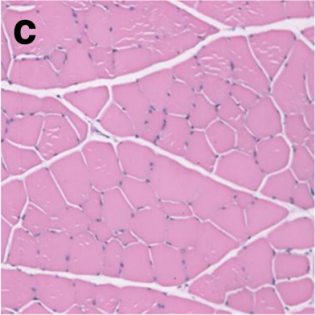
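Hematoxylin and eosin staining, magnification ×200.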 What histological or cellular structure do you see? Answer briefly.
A: Muscle fibers.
